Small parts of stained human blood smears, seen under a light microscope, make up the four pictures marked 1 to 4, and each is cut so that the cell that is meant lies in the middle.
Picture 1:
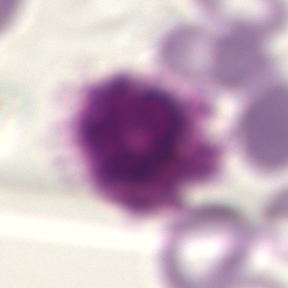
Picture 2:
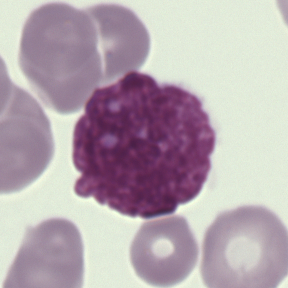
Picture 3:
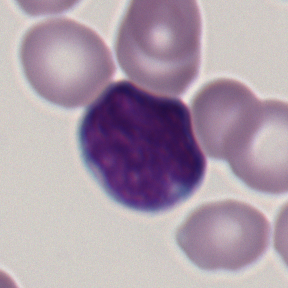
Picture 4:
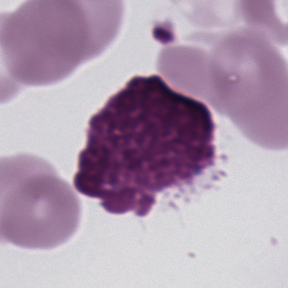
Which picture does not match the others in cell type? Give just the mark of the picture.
3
